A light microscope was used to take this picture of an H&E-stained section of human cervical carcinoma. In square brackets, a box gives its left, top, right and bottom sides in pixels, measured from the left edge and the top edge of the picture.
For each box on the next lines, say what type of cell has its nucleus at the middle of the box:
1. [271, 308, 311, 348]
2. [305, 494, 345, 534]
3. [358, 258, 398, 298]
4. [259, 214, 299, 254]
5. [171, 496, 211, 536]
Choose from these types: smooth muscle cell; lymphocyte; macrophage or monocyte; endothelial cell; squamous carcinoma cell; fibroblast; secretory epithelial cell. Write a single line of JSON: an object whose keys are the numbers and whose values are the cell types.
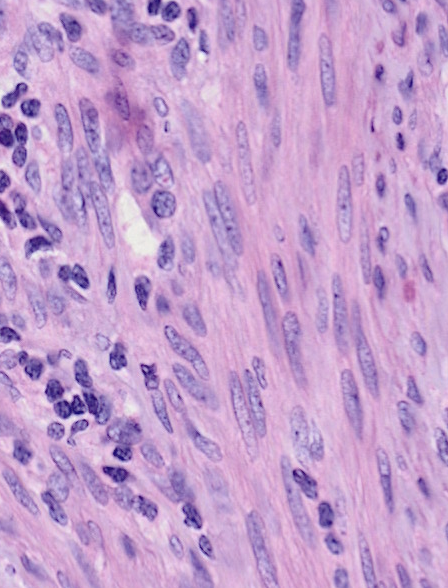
{"1": "smooth muscle cell", "2": "lymphocyte", "3": "smooth muscle cell", "4": "smooth muscle cell", "5": "lymphocyte"}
